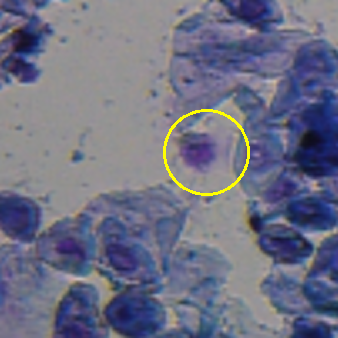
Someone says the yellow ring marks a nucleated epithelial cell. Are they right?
They are right: it is a nucleated epithelial cell.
